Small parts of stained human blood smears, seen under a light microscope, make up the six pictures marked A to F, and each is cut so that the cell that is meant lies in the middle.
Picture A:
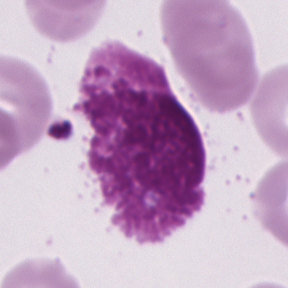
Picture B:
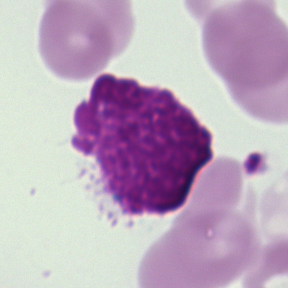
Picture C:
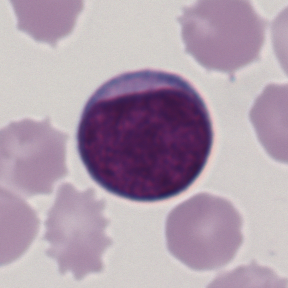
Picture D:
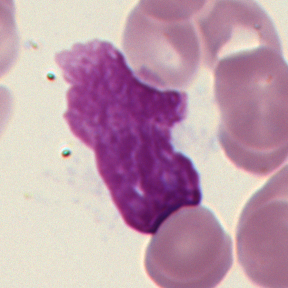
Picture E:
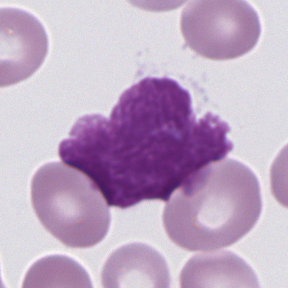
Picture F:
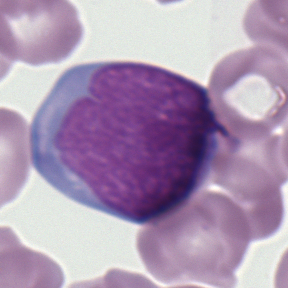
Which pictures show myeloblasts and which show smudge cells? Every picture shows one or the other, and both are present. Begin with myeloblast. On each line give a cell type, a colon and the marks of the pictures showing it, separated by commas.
myeloblast: C, F
smudge cell: A, B, D, E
